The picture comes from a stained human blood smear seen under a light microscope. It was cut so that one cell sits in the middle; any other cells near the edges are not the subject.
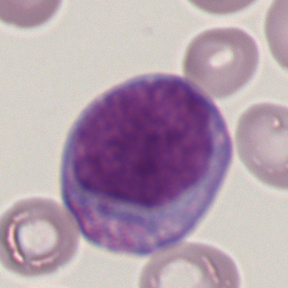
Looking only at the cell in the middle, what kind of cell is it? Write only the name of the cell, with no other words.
atypical promyelocyte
